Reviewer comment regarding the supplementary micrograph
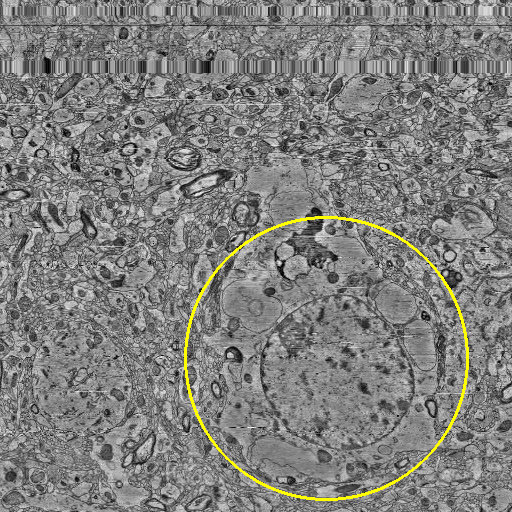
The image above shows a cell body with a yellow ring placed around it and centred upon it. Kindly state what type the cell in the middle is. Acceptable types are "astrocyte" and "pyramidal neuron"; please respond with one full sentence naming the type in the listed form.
In the image above, the cell on which the yellow ring is centred is an astrocyte.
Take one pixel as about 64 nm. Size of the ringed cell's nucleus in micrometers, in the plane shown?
Roughly 10 micrometres across, measured in this plane.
